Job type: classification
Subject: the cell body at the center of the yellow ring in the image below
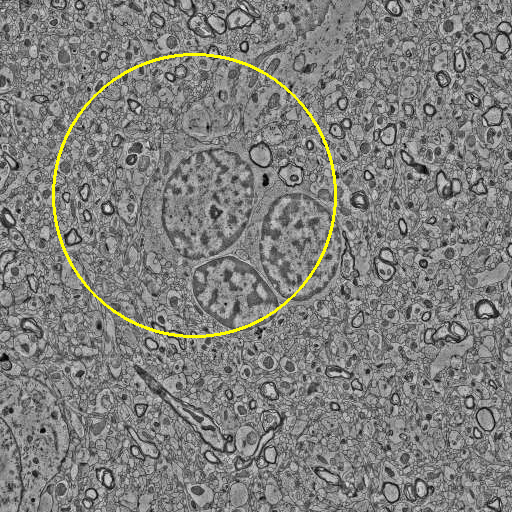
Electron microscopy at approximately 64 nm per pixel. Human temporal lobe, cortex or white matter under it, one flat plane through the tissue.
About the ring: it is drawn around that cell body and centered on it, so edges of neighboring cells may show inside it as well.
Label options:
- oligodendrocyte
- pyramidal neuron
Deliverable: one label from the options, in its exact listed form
oligodendrocyte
